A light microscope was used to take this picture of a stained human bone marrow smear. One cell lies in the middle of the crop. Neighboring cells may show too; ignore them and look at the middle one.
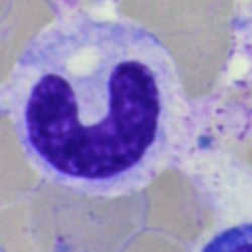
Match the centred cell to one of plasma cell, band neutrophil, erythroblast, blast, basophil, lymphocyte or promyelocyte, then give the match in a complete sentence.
The cell positioned in the middle of the field is a band neutrophil.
